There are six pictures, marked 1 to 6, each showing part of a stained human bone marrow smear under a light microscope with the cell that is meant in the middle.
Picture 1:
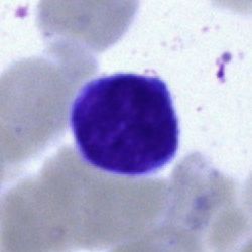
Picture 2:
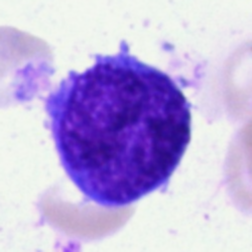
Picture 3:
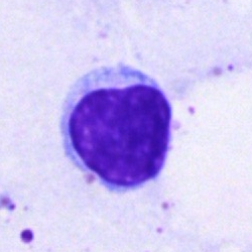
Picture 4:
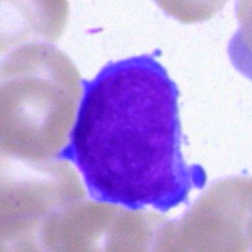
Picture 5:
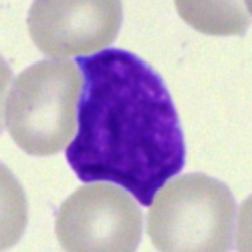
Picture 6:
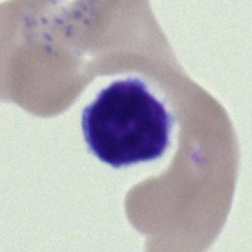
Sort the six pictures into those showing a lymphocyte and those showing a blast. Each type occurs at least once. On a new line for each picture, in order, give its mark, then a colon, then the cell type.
1: lymphocyte
2: blast
3: lymphocyte
4: blast
5: blast
6: lymphocyte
